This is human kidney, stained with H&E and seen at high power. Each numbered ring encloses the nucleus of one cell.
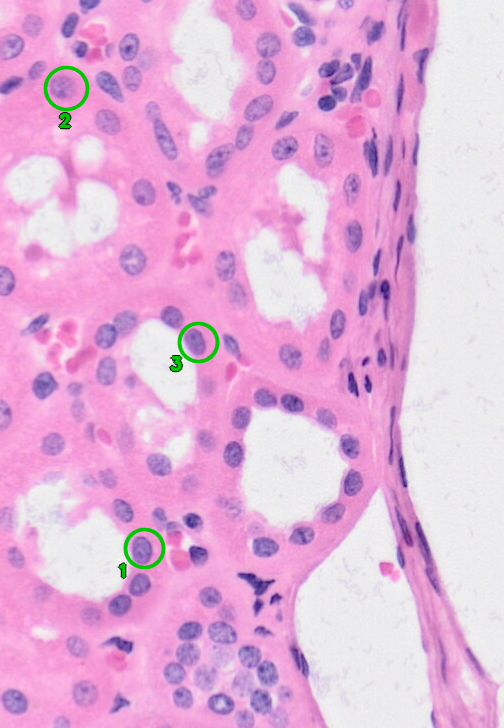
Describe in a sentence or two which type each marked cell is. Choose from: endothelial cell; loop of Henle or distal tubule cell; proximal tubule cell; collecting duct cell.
Cell 1 is a loop of Henle or distal tubule cell, cell 2 is a proximal tubule cell and cell 3 is a loop of Henle or distal tubule cell.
